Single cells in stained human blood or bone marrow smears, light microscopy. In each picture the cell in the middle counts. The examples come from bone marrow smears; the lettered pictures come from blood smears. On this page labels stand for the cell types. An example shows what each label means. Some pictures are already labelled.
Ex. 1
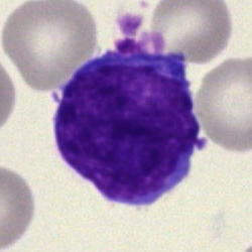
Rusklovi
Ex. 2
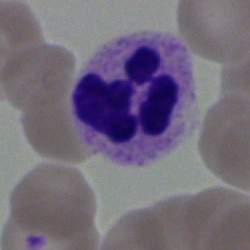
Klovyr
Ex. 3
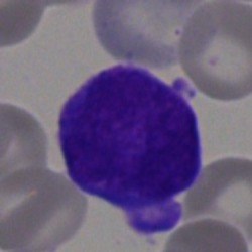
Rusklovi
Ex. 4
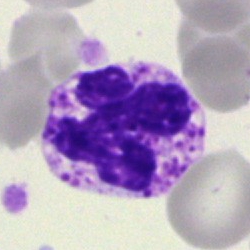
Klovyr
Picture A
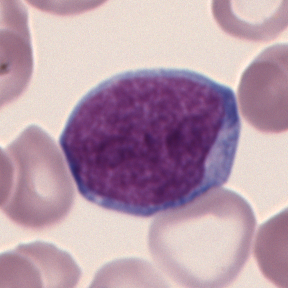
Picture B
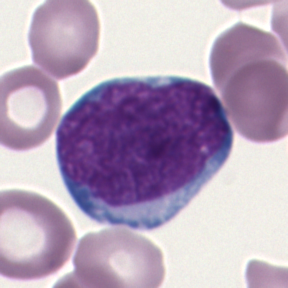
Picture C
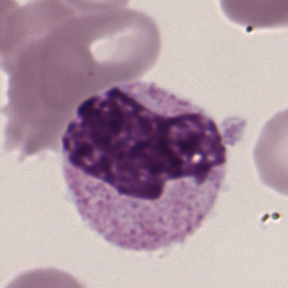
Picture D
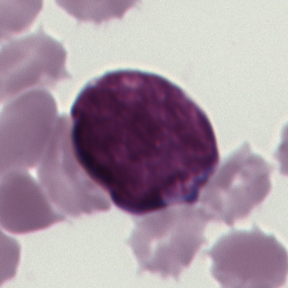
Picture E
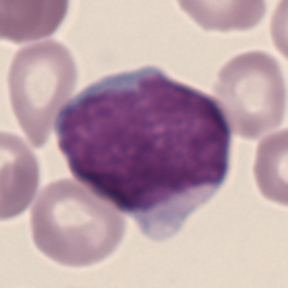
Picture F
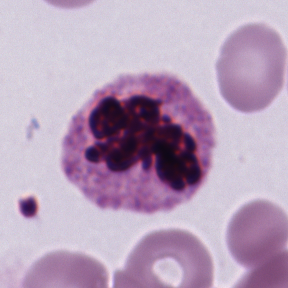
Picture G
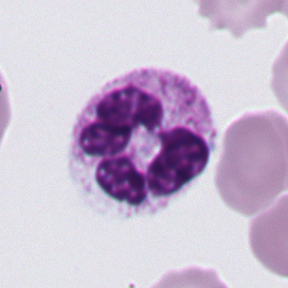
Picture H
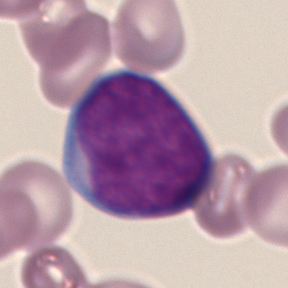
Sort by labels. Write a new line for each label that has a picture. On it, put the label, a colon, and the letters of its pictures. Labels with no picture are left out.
Rusklovi: A, B, D, E, H
Klovyr: C, F, G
